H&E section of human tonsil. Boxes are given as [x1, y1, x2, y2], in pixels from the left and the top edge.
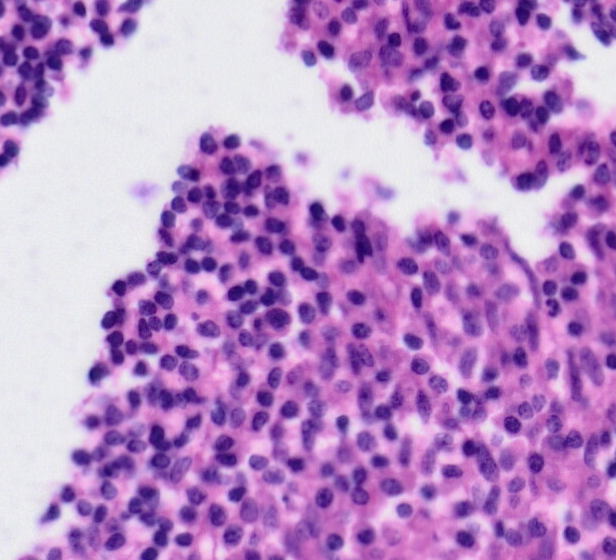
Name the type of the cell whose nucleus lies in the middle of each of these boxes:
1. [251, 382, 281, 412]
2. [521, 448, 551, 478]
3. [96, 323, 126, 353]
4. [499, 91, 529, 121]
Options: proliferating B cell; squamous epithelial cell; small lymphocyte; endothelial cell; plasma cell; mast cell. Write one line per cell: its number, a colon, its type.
1: plasma cell
2: plasma cell
3: small lymphocyte
4: plasma cell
